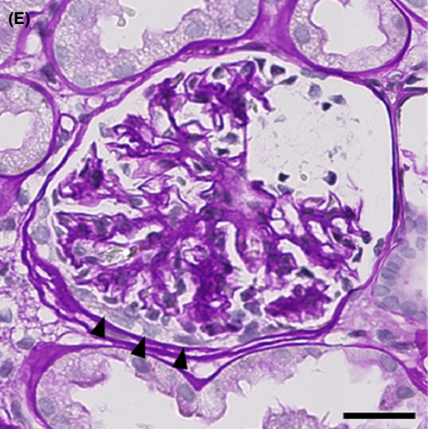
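The tuft is lobulated, with magenta capillary walls and scattered dark nuclei, and partly retracted to the left within the capsule. Around the glomerulus lie cross-sections of tubules with pale cytoplasm and magenta basement membranes.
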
